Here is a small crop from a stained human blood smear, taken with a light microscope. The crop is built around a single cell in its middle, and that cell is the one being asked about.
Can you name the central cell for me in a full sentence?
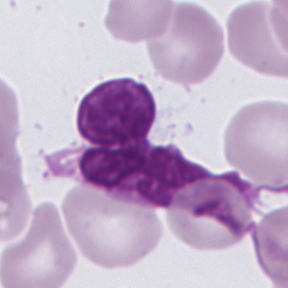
The middle of this crop holds a smudge cell.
